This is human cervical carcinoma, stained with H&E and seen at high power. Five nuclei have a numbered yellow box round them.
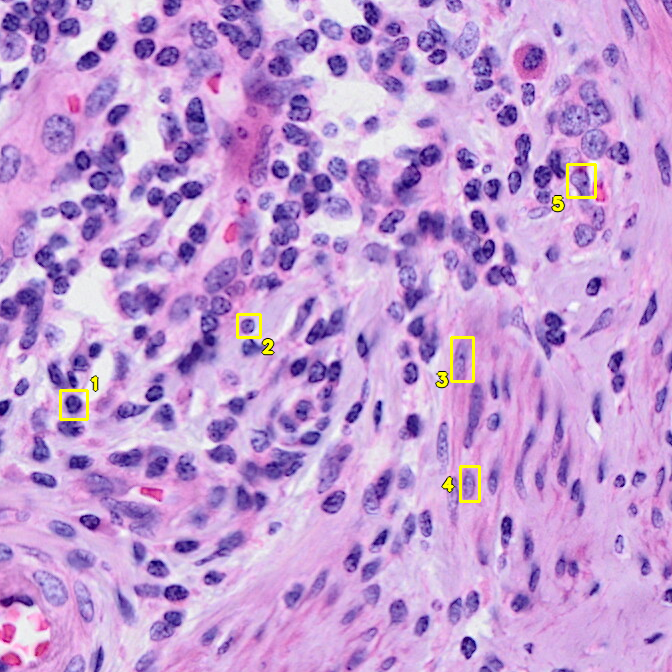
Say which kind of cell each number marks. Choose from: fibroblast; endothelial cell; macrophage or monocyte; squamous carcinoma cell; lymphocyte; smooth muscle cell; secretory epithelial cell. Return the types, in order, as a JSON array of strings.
["lymphocyte", "lymphocyte", "smooth muscle cell", "smooth muscle cell", "endothelial cell"]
